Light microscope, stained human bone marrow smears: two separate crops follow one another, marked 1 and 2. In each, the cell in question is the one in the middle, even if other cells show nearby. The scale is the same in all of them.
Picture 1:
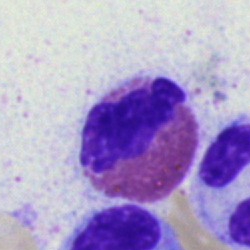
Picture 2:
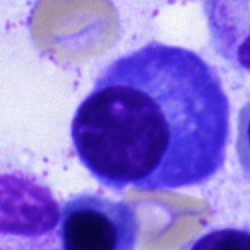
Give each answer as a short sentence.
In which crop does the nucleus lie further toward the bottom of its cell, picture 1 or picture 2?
The nucleus in picture 2 lies further toward the bottom of its cell.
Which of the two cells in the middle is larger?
Larger is the cell in picture 2, at roughly 1.5 times the area of the other.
